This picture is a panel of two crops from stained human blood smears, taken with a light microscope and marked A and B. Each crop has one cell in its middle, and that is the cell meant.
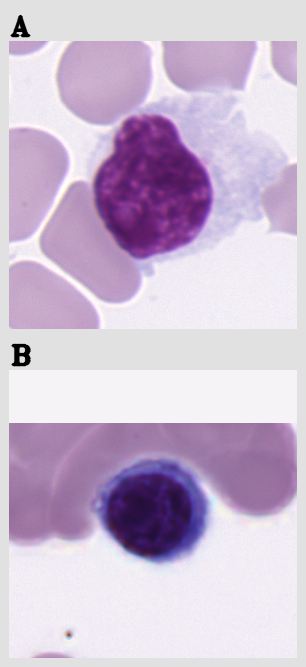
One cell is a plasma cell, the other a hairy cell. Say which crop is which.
A: hairy cell
B: plasma cell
